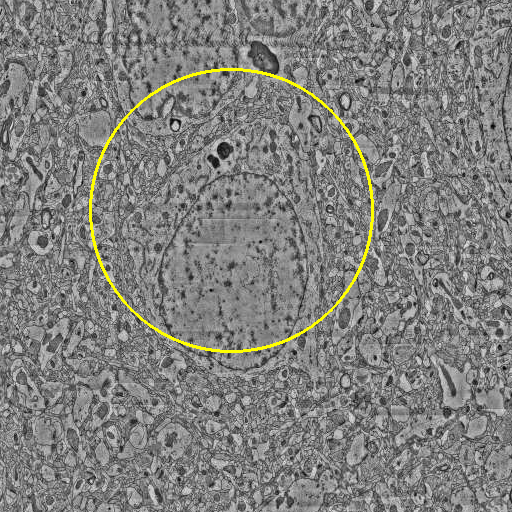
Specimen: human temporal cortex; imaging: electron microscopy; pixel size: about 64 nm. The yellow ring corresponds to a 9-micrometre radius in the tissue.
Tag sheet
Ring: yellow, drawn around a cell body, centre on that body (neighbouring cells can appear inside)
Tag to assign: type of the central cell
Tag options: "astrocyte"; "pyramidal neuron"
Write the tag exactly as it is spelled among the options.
pyramidal neuron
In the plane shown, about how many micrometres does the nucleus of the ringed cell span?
Roughly 13 micrometres by 9 micrometres, in this plane.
